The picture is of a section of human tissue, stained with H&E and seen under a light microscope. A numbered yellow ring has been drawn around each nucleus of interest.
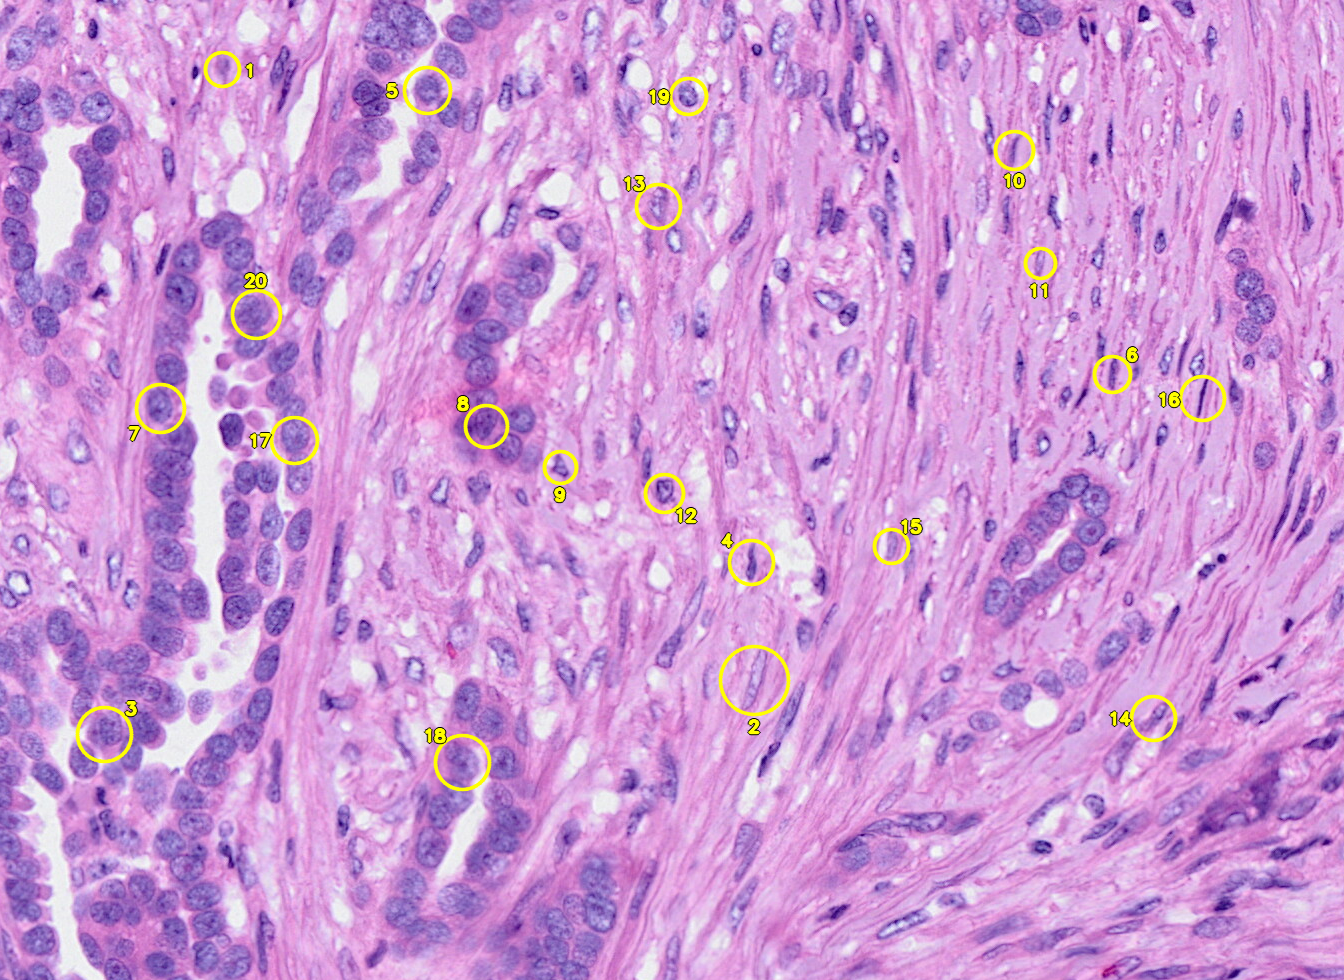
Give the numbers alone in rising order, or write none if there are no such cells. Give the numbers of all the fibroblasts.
1, 2, 4, 6, 9, 10, 11, 13, 14, 15, 16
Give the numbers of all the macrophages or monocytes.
12, 19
